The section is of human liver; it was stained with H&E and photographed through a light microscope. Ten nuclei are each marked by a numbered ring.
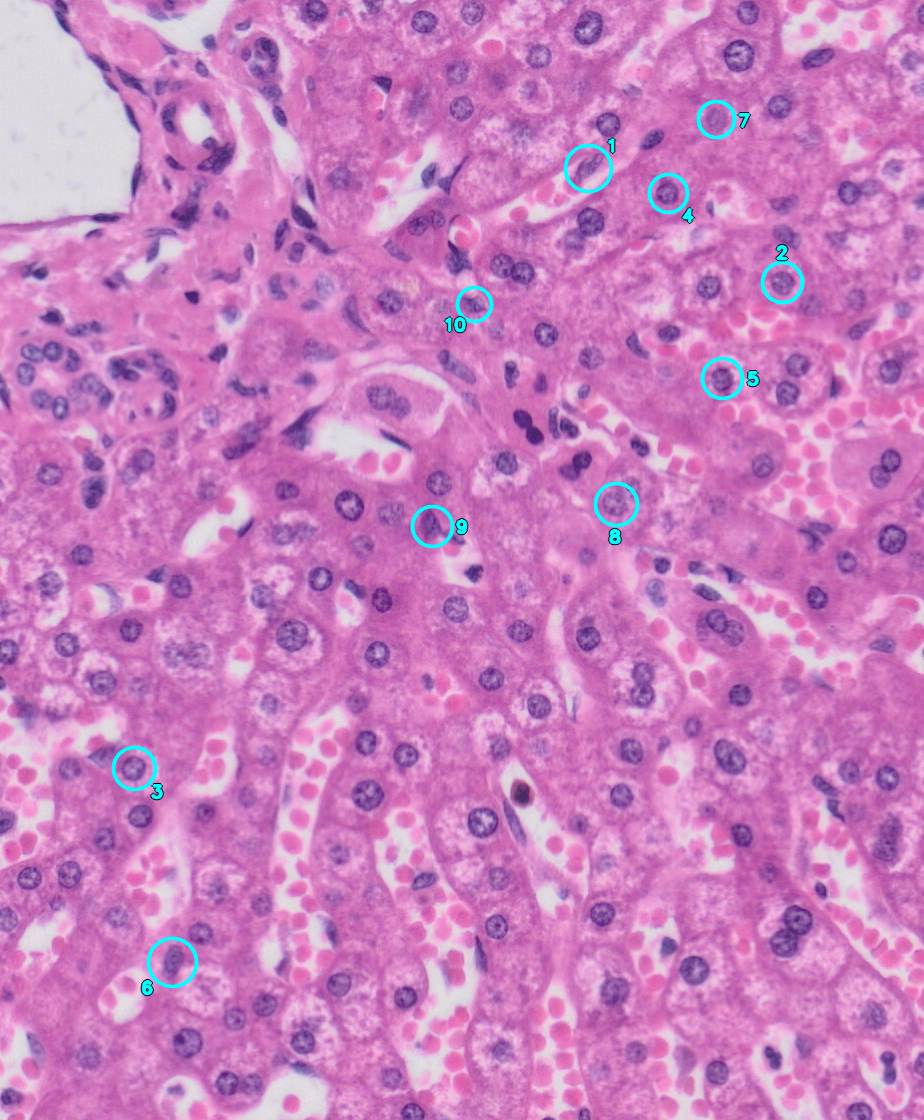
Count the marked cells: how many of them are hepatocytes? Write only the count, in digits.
6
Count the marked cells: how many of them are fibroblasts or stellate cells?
3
